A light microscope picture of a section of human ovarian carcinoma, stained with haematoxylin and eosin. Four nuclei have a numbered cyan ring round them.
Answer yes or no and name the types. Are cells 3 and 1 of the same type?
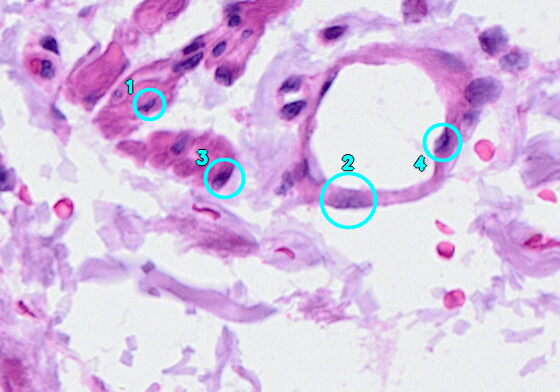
Yes, cells 3 and 1 are both counted as smooth muscle cells.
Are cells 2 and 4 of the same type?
Yes, the pair of cells 2 and 4 are both endothelial cells.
